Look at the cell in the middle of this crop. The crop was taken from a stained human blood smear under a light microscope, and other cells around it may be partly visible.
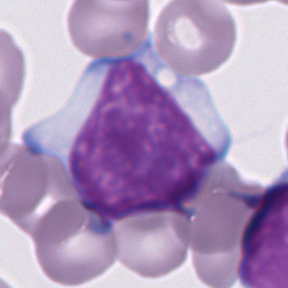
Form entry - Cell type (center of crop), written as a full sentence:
The cell centred in this crop is categorized as a myeloblast.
